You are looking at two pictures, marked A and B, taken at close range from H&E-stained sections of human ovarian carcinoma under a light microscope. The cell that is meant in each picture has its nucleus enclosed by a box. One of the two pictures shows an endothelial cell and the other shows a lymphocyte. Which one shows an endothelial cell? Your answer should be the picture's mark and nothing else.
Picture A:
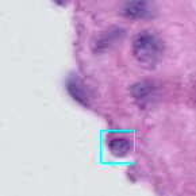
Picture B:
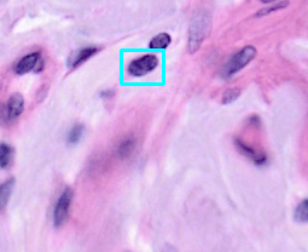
A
